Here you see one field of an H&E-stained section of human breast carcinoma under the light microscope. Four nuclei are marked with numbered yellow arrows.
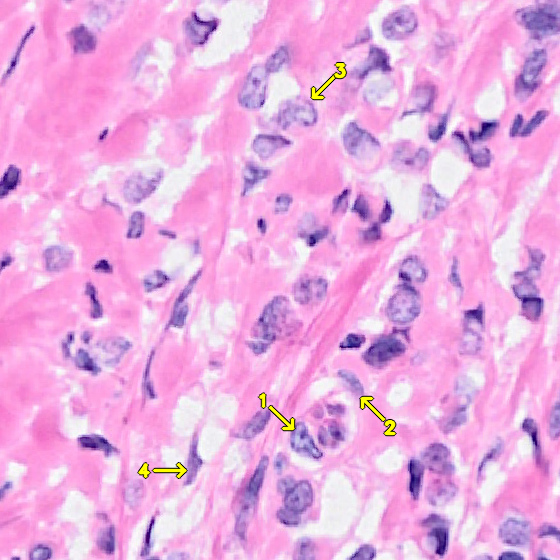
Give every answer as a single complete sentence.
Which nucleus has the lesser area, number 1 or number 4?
Nucleus 4 covers less area, with nucleus 1 about 2 times as large.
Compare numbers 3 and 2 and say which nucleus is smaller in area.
It is nucleus 2; nucleus 3 has about 2.5 times its area.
